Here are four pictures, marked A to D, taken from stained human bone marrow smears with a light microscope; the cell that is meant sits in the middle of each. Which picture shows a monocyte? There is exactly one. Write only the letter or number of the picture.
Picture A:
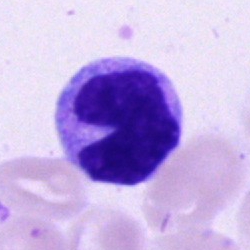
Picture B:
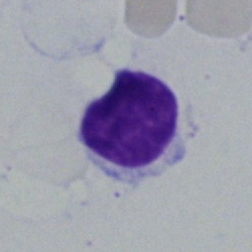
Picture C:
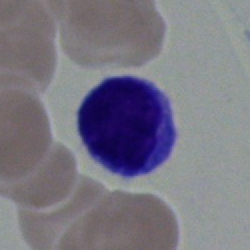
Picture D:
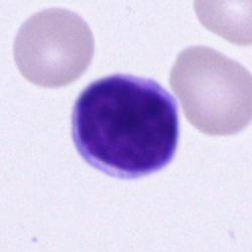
A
